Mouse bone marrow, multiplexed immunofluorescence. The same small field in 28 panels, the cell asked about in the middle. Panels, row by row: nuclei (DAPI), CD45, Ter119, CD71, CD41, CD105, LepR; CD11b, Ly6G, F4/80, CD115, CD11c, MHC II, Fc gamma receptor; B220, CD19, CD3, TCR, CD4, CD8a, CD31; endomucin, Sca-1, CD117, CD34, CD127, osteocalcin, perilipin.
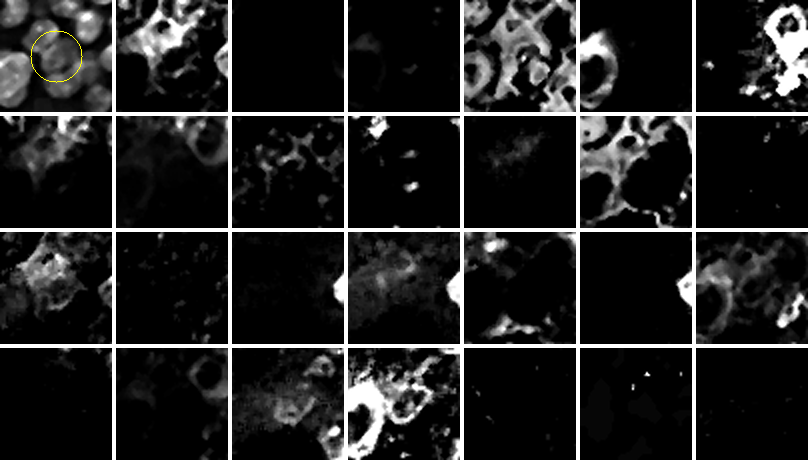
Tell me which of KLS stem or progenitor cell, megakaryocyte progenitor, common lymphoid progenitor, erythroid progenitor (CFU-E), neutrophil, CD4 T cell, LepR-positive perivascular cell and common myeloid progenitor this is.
The picture shows a megakaryocyte progenitor.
